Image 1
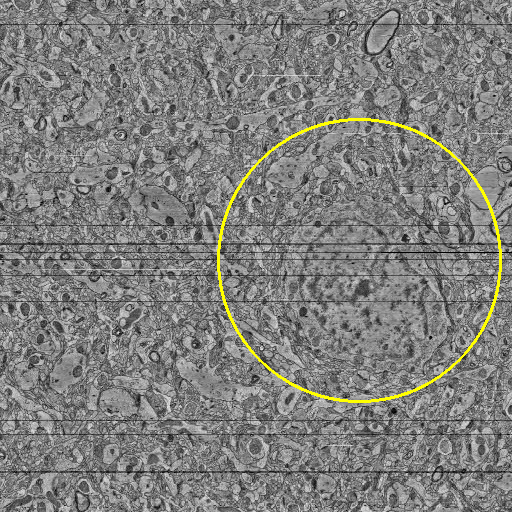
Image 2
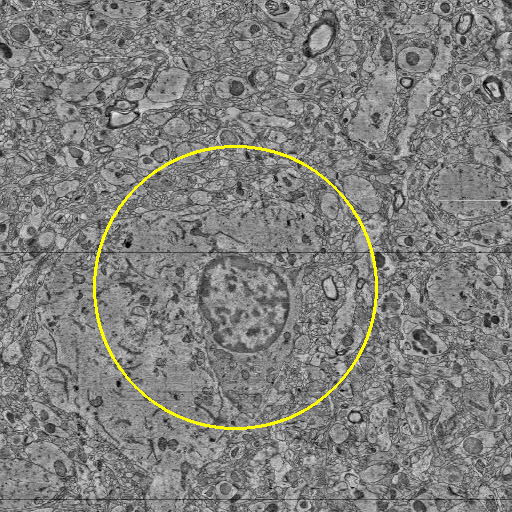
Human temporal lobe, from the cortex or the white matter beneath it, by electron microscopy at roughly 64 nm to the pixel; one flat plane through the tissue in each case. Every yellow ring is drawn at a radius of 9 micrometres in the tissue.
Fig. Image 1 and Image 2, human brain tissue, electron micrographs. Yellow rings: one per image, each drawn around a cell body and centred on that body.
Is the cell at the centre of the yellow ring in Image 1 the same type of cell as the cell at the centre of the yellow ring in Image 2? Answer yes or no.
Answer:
no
